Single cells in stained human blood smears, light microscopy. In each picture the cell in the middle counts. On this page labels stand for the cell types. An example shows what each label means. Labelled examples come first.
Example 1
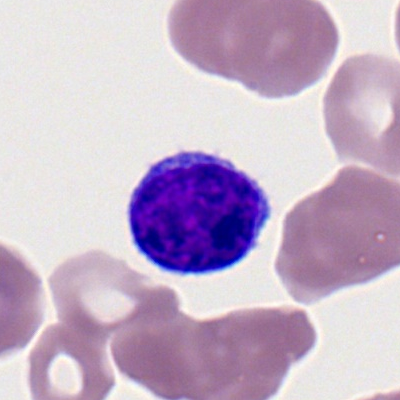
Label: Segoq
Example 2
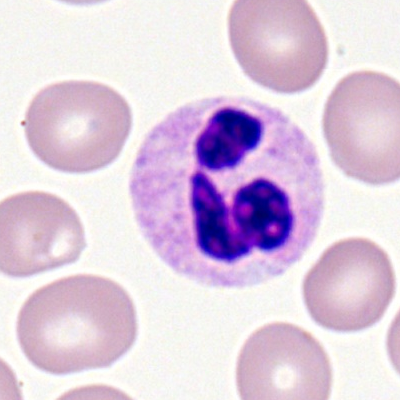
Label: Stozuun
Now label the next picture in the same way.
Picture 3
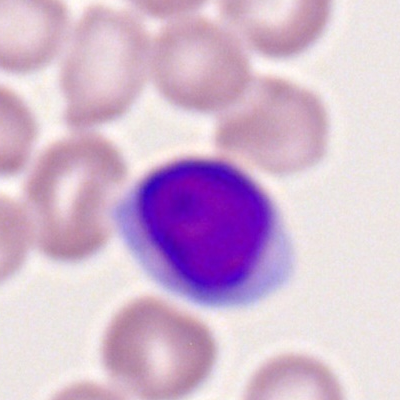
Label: Segoq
